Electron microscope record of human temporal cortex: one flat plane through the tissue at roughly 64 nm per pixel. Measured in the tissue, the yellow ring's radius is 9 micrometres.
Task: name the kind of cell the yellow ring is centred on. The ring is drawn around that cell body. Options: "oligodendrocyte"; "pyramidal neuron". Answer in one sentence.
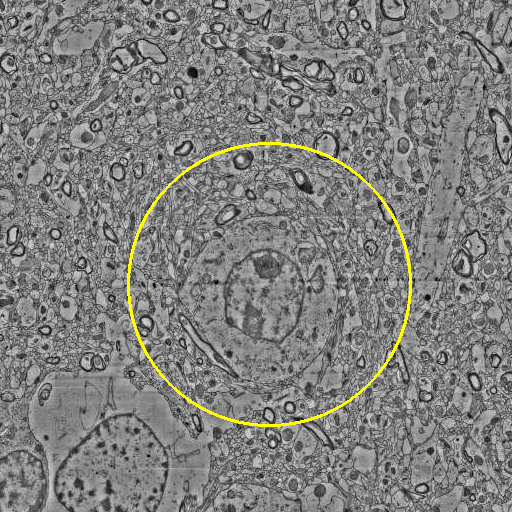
This cell body belongs to a pyramidal neuron.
